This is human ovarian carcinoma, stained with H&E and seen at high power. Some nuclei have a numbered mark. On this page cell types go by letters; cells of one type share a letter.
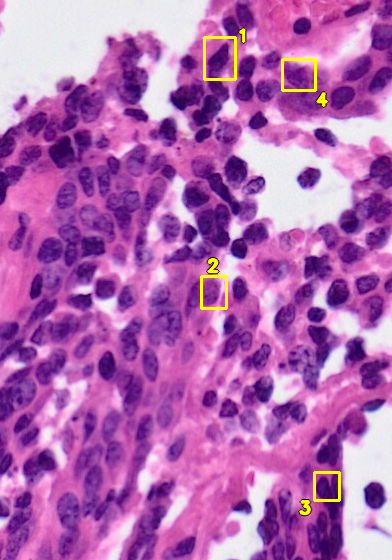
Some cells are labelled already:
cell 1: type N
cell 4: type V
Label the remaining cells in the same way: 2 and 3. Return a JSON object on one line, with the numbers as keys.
{"2": "type V", "3": "type V"}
